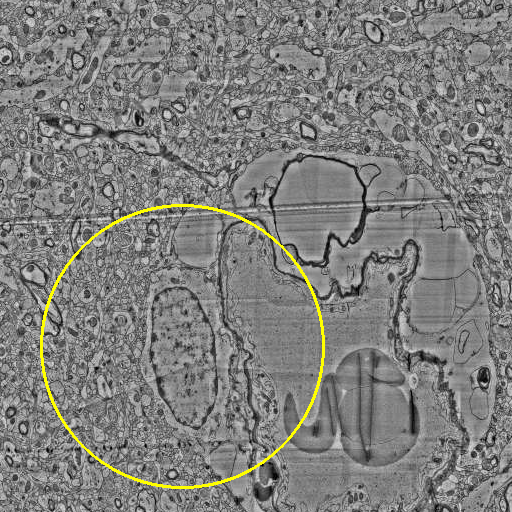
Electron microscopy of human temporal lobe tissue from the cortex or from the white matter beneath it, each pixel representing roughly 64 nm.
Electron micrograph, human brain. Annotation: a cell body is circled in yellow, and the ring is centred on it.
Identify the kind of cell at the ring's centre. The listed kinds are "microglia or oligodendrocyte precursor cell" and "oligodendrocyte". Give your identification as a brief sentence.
The circled cell body is that of a microglial cell or oligodendrocyte precursor cell.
